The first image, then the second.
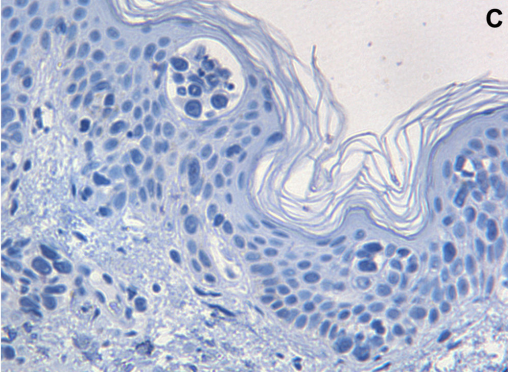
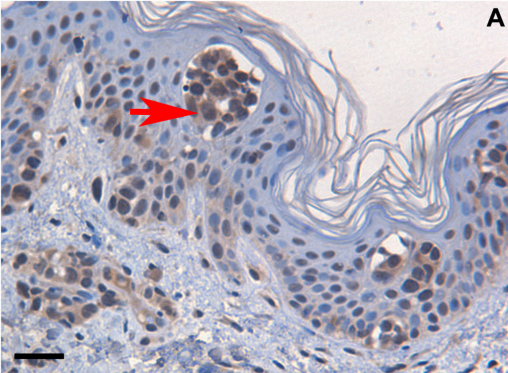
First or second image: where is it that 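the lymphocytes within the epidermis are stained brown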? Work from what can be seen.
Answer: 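First image: the cluster of cells in the epidermis has only blue nuclei, no brown. Second image: the same cluster and many basal cells show brown nuclei. That points to this answer: the second image.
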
